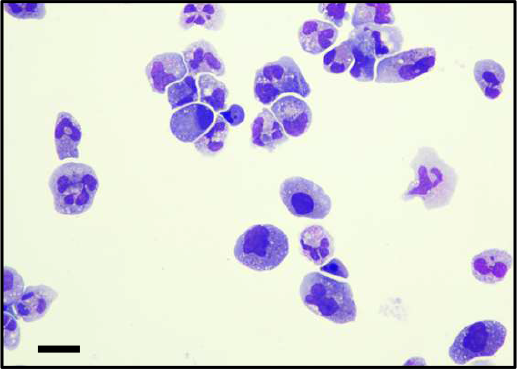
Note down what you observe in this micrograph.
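Some cells have lobed, dark purple nuclei within pale pink granular cytoplasm, like mature neutrophils. Others are larger, with a single round or bean-shaped dark nucleus and more deeply blue-purple cytoplasm, resembling less mature cells. Many cells lie crowded together, pressing against each other with thin pale lines between them, rather than lying singly. Overall the cells are less uniform in form and nuclear shape than a pure population of segmented granulocytes.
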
